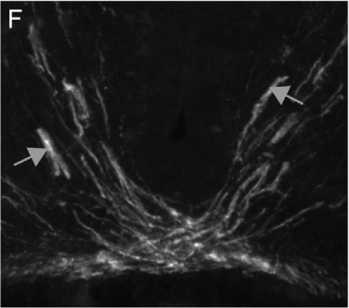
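This is the ventral part of a spinal cord section, centred on the floor plate, with labelled axons shining white on a dark background. From both sides, many thin fibres sweep down and inward in loose bundles, converging toward the ventral midline like the two arms of a V. At the bottom they meet and cross, forming a dense, tangled bright band along the ventral edge. The midline region above the crossing, around the tip of the central canal, is dark and unlabelled. A few thicker, brighter fibre segments stand out among the finer ones on each side.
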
